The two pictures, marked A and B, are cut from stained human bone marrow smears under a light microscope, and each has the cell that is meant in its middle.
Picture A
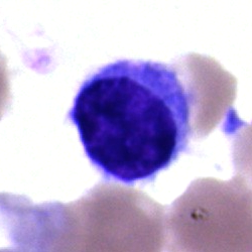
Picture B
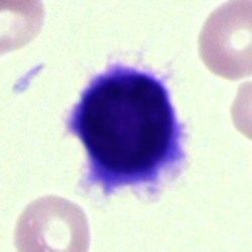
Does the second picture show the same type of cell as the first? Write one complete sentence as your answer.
Yes; the cells in both pictures are hairy cells.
